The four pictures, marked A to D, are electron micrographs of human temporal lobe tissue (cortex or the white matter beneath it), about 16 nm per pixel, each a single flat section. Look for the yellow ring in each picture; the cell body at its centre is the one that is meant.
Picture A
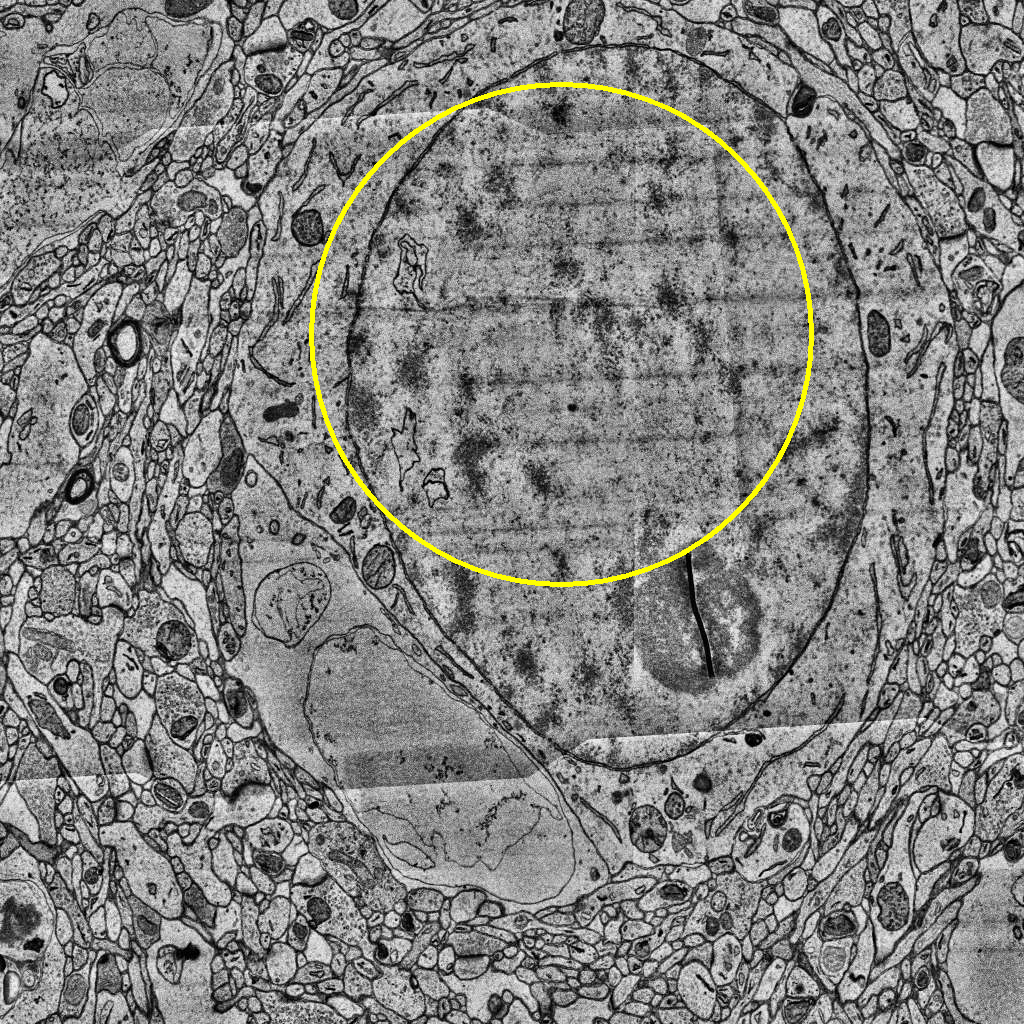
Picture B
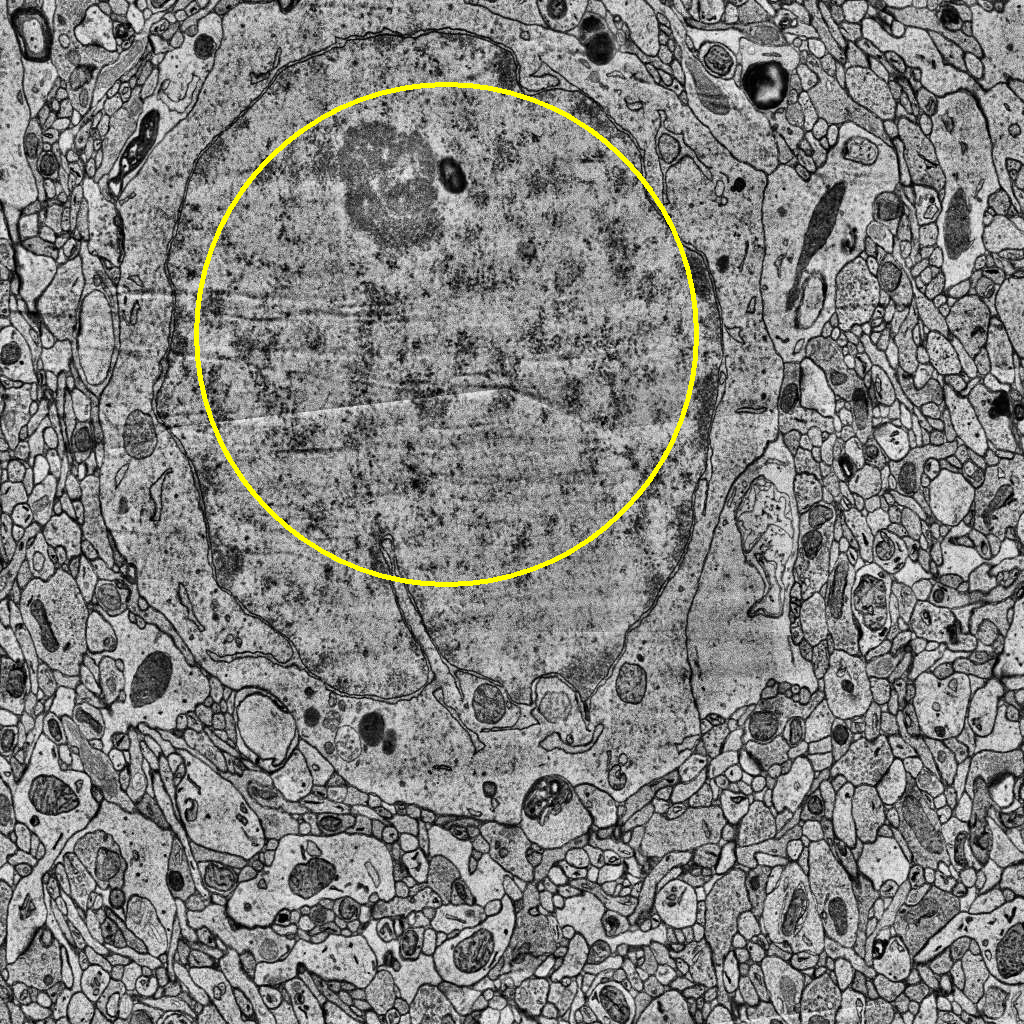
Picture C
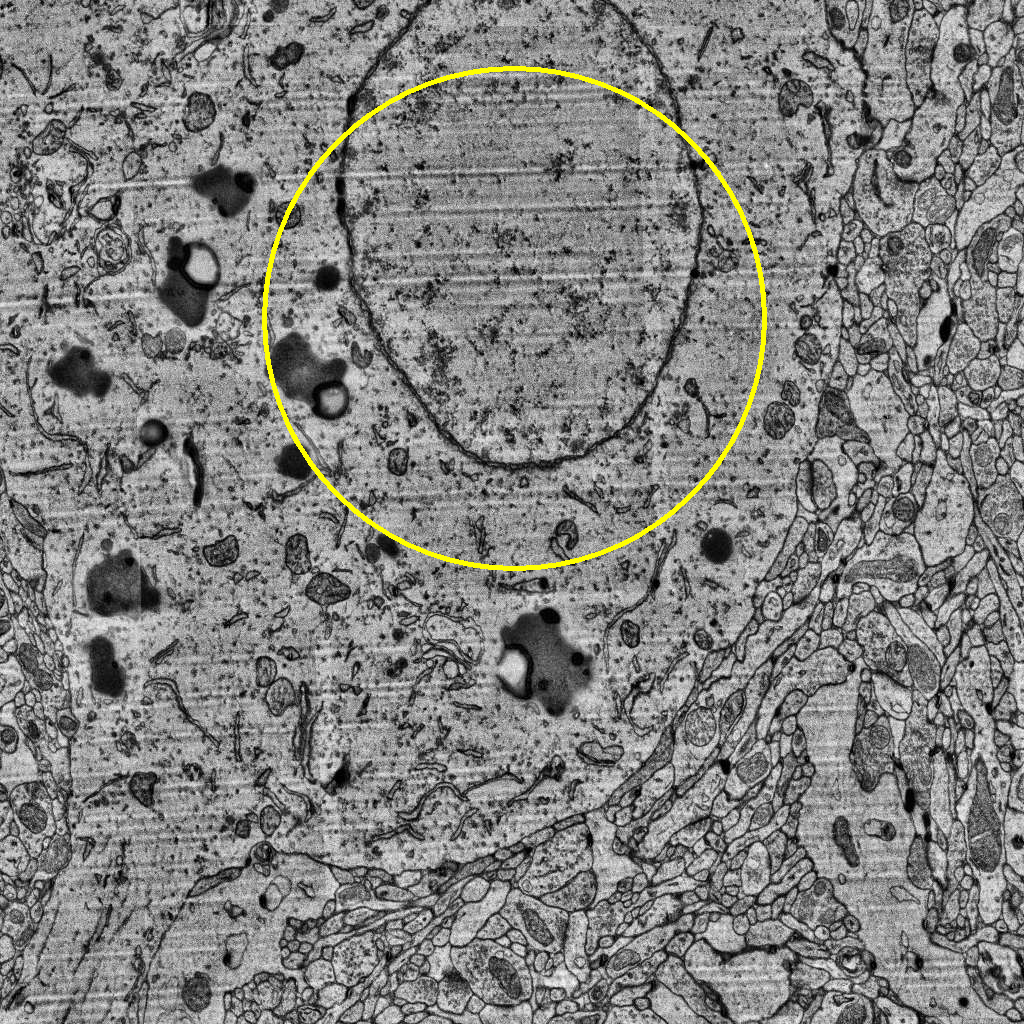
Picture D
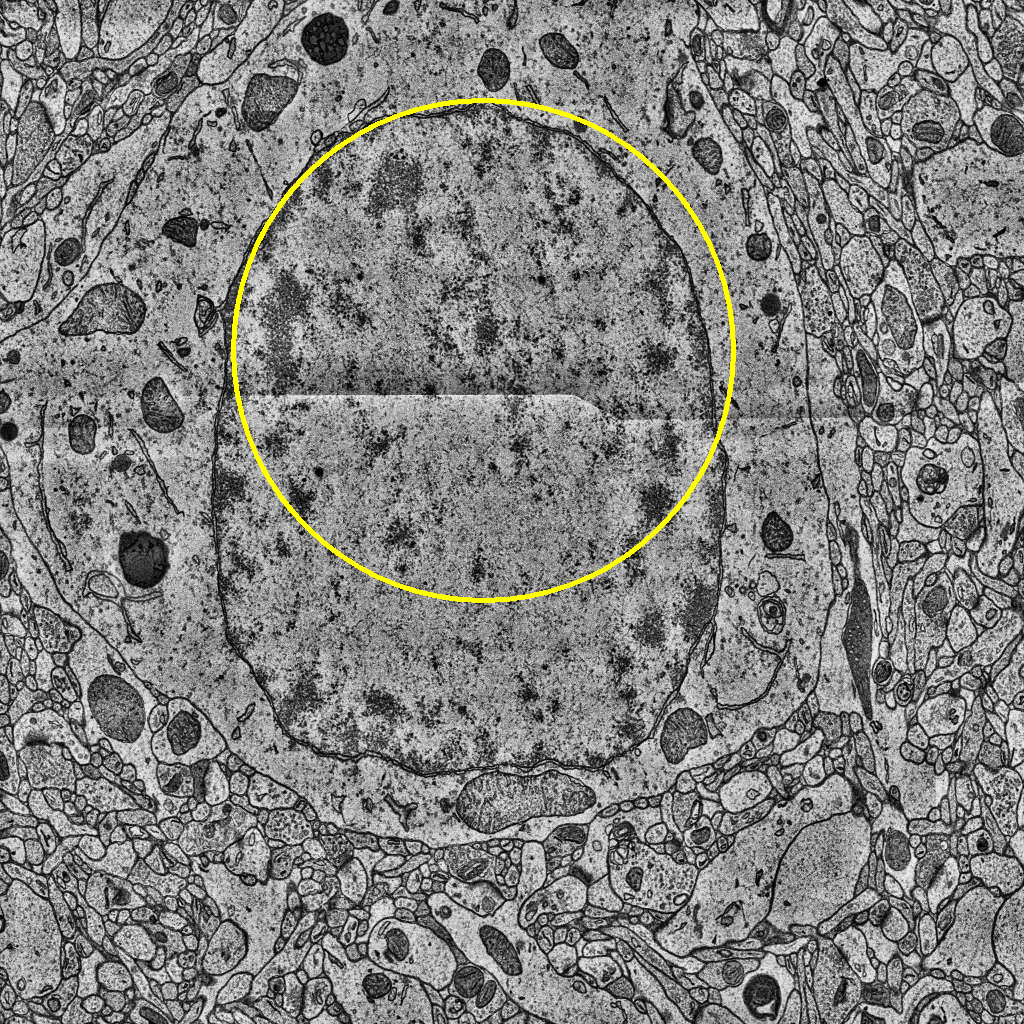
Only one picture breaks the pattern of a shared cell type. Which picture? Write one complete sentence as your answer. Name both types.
Unlike the rest, which show pyramidal neurons, picture B shows an interneuron.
